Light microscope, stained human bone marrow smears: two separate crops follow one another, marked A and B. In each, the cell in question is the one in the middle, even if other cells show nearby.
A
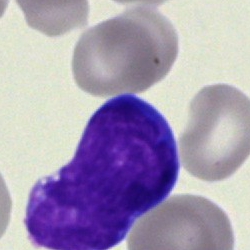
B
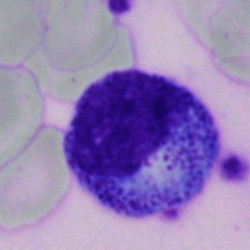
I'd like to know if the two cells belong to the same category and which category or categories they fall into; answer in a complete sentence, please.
No, the cell in crop A is a blast, and the cell in crop B is a promyelocyte.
